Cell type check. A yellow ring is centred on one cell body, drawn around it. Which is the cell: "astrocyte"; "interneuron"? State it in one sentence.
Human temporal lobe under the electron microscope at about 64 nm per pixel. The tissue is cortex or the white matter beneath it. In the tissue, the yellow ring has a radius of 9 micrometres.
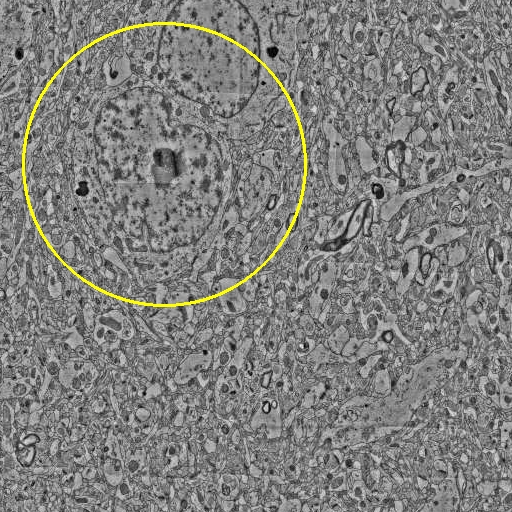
The cell body at the ring's centre belongs to an interneuron.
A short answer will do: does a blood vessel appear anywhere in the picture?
No, the picture includes no blood vessel.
